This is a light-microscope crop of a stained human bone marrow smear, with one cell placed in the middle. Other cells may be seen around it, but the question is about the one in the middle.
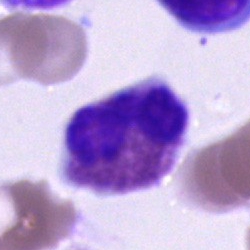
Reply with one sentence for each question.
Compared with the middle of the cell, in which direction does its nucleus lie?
Toward the top of the cell lies its nucleus.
